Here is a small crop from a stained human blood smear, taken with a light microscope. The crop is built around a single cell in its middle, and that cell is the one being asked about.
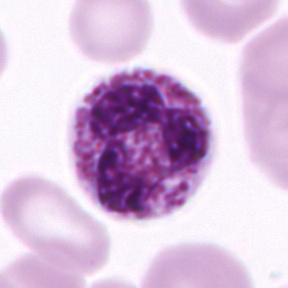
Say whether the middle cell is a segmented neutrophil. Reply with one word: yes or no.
no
